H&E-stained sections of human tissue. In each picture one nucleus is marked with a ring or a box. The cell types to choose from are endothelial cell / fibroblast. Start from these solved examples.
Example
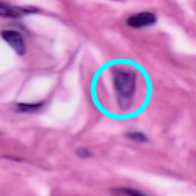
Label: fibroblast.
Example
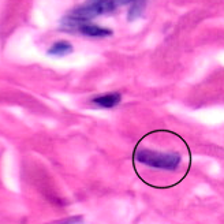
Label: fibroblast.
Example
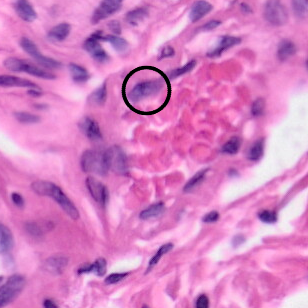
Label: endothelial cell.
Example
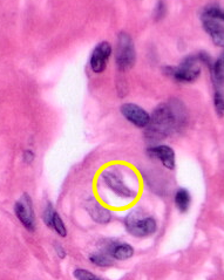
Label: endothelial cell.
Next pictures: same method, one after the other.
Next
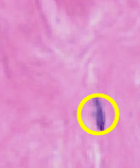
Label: fibroblast.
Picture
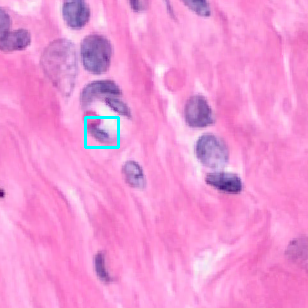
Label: endothelial cell.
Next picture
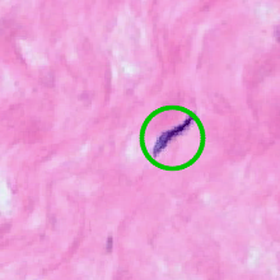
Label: fibroblast.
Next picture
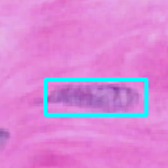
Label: fibroblast.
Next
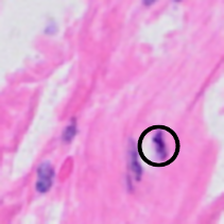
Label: endothelial cell.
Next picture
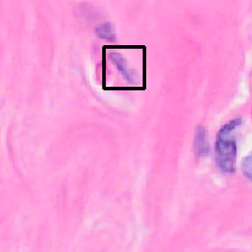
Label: endothelial cell.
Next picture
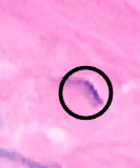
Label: fibroblast.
